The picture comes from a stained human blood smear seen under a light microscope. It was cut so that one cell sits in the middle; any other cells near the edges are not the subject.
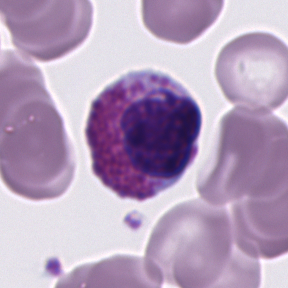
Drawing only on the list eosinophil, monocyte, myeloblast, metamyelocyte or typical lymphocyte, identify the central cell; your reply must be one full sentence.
This crop's central cell is an eosinophil.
